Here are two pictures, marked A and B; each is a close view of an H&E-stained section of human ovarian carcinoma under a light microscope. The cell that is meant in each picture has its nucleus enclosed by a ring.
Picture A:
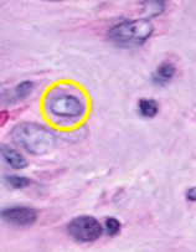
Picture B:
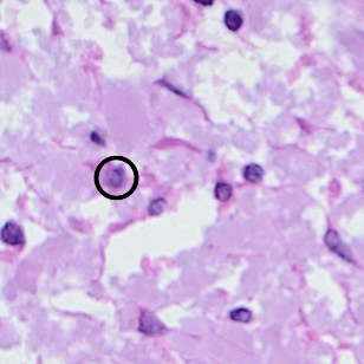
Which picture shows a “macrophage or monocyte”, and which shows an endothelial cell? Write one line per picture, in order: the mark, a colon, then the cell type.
A: endothelial cell
B: macrophage or monocyte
